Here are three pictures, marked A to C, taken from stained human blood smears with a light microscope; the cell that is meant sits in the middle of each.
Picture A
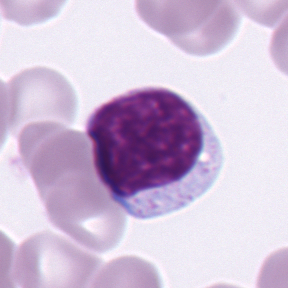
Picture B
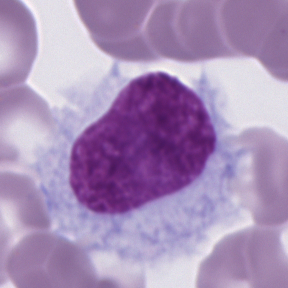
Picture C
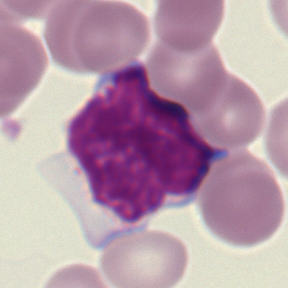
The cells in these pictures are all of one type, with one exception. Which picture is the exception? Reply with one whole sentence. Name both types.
All pictures except B show large granular lymphocytes; picture B shows a hairy cell.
